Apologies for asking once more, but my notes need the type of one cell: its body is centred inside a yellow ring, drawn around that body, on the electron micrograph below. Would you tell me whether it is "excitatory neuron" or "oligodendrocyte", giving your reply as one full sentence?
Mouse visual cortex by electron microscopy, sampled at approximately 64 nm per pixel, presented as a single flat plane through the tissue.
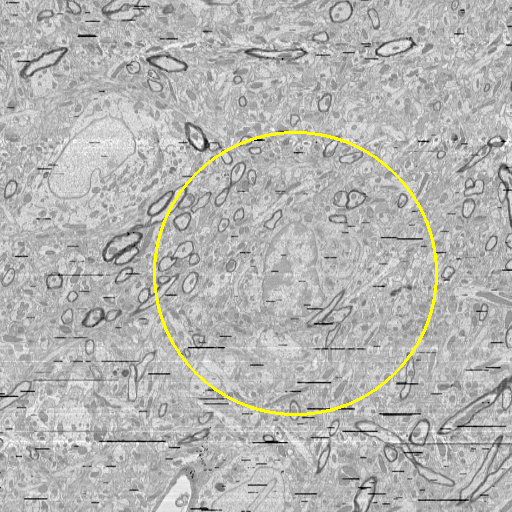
The cell that the yellow ring is centred on is an oligodendrocyte in this micrograph.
